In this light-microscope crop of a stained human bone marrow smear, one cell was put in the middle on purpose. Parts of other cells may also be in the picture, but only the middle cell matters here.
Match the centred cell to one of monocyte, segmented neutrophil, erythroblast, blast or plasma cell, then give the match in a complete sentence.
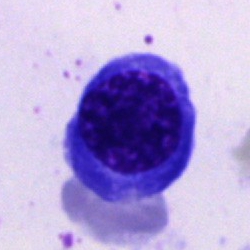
In this smear crop, the middle cell is an erythroblast.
